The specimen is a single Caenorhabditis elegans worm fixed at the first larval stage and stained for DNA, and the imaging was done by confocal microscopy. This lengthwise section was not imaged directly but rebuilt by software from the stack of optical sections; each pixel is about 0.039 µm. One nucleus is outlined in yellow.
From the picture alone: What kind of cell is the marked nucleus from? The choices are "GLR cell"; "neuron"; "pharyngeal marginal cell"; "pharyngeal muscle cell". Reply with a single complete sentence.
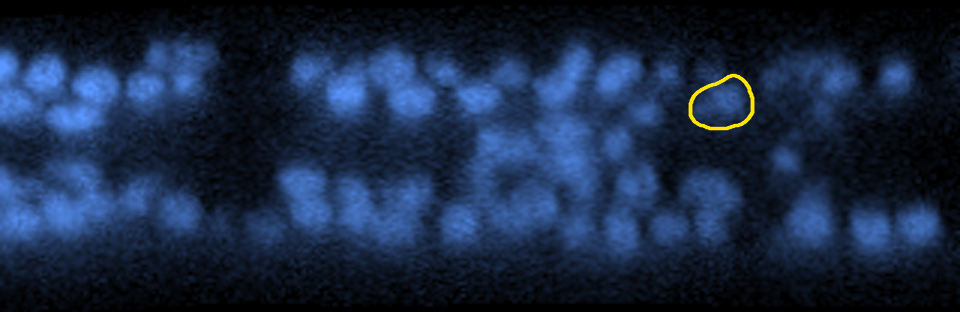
It belongs to a pharyngeal muscle cell.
